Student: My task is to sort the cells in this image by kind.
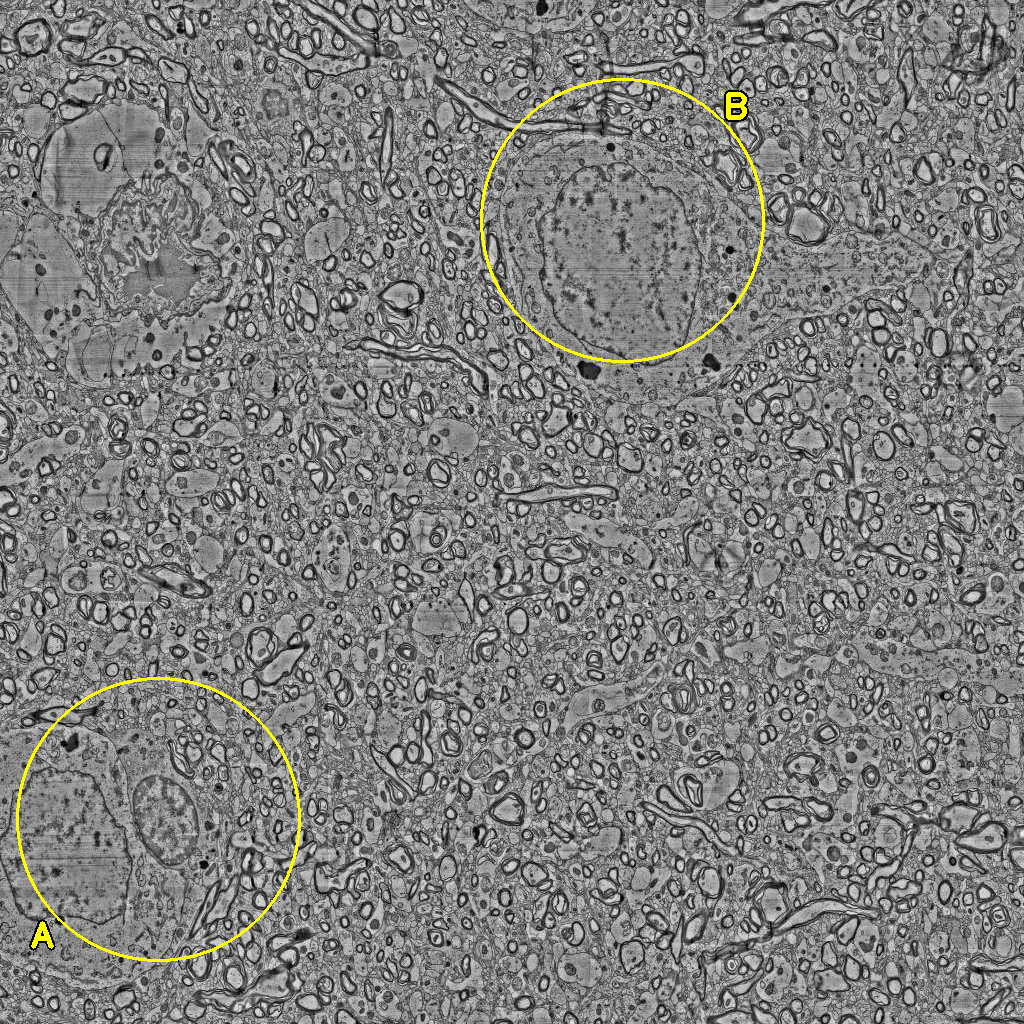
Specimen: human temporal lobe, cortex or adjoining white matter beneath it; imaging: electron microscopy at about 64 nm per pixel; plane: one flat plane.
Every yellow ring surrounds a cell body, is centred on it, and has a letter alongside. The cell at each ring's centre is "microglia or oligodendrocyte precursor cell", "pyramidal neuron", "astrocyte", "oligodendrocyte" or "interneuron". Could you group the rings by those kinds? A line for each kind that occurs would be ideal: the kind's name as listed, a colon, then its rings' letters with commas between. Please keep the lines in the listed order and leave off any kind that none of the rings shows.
pyramidal neuron: B
oligodendrocyte: A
